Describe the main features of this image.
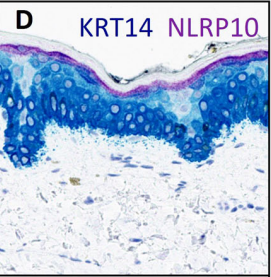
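This is normal epidermis seen at higher magnification, with keratinocytes stacked in layers above a pale, loosely fibrous dermis. The epidermis is only a few cell layers thick and undulates gently over the dermis.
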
